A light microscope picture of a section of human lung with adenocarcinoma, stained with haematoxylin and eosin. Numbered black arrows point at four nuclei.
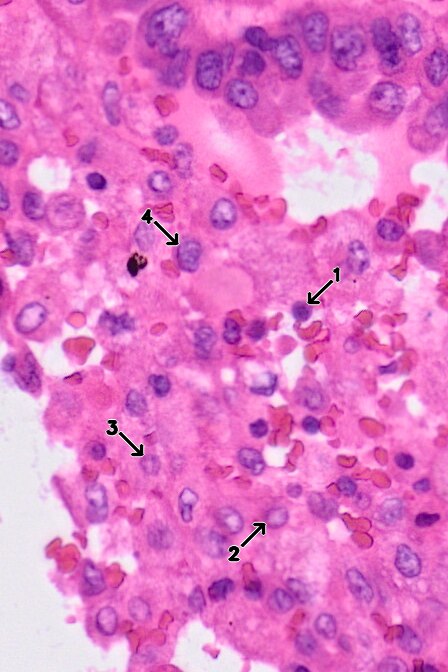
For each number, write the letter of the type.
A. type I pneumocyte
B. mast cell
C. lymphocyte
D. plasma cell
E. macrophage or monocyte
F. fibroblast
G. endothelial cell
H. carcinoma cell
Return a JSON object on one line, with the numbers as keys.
{"1": "C", "2": "E", "3": "E", "4": "E"}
